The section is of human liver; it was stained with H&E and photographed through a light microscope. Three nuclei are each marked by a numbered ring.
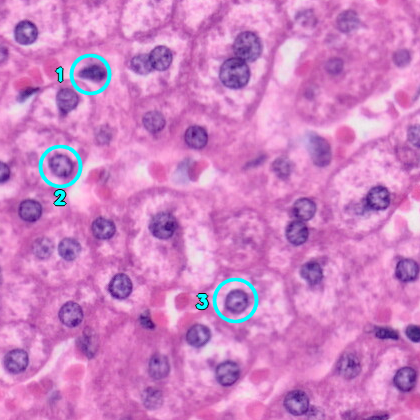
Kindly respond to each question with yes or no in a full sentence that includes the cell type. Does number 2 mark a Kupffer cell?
No, in terms of cell type, cell 2 is a hepatocyte, not a Kupffer cell.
